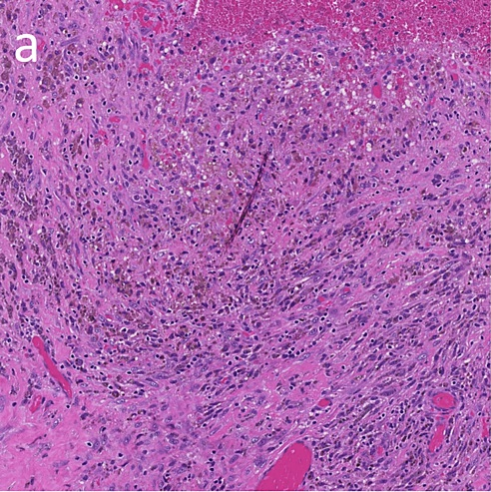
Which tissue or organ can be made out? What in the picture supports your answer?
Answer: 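Granulation tissue. Densely cellular tissue of spindle cells and rounded cells. Scattered small blood vessels with red cells run through it. Fresh blood lies along the top edge.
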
